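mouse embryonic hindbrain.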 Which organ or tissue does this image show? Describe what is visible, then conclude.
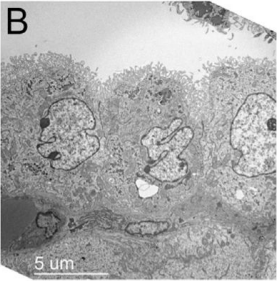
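A single row of epithelial cells with dense microvilli on the surface facing an open space. A thin layer with flattened nuclei lies beneath the epithelium. The answer: choroid plexus.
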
